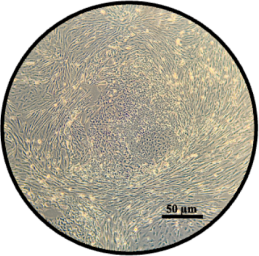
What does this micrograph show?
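Most cells are elongated and spindle-shaped, lying side by side in long parallel streams. The streams curve and swirl across the dish, and in some areas they cross one another. A denser, more crowded region with less clearly separated cells lies near the centre. Small bright refractile cells are scattered over the monolayer.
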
